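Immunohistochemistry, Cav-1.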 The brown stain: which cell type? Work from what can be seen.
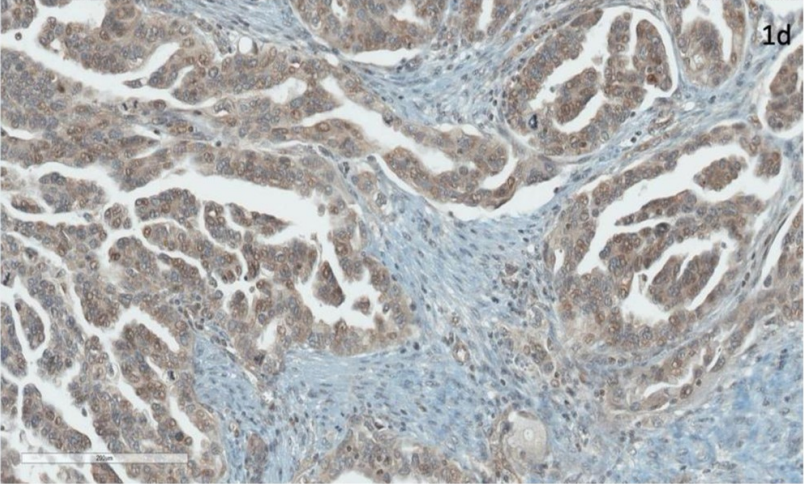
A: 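Brown-stained cells line slit-like glandular spaces. Cells are crowded in several layers.
Conclusion: tumor epithelial cells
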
